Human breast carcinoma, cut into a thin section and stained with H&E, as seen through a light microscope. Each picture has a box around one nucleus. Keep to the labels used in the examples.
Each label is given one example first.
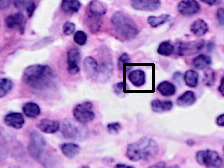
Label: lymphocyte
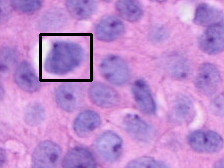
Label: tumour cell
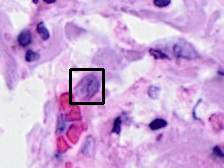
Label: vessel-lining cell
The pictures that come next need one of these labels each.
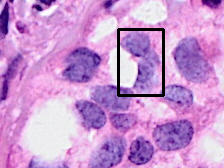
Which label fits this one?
tumour cell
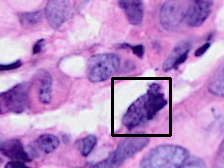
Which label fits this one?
tumour cell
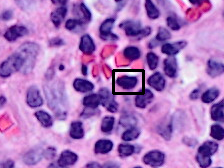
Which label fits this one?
lymphocyte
